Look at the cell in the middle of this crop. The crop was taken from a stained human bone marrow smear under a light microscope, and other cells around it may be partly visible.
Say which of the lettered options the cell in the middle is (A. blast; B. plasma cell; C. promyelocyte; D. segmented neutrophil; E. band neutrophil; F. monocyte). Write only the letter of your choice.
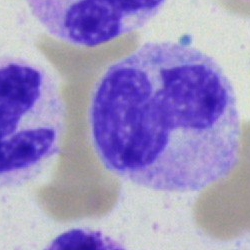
E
